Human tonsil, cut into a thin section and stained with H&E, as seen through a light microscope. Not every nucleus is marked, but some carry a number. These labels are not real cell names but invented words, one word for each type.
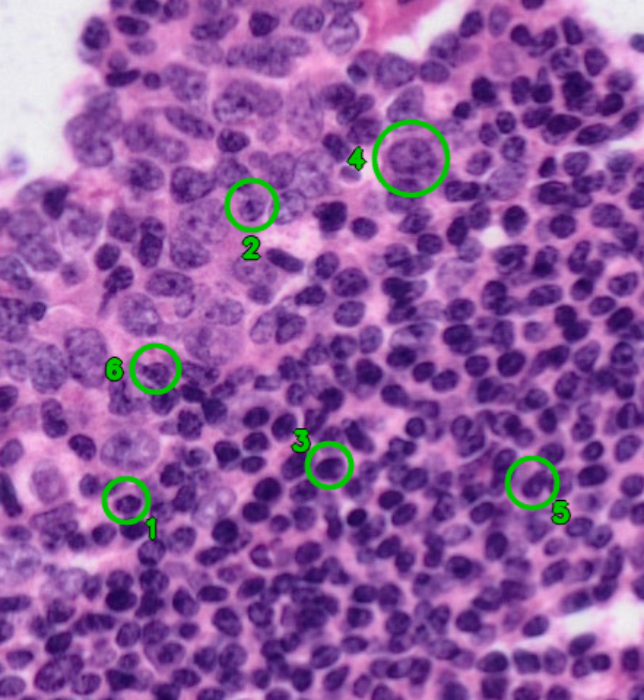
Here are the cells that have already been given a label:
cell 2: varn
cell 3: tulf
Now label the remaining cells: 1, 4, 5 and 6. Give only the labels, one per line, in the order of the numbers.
tulf
varn
tulf
varn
